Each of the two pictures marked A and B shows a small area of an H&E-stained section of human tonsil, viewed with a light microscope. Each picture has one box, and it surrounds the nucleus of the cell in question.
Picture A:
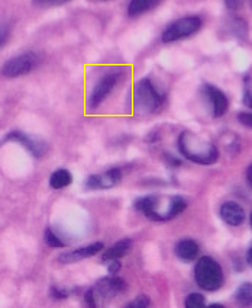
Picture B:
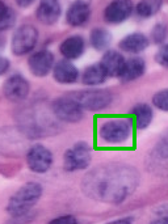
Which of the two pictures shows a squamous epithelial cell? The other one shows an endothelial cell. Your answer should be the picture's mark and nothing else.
A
